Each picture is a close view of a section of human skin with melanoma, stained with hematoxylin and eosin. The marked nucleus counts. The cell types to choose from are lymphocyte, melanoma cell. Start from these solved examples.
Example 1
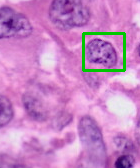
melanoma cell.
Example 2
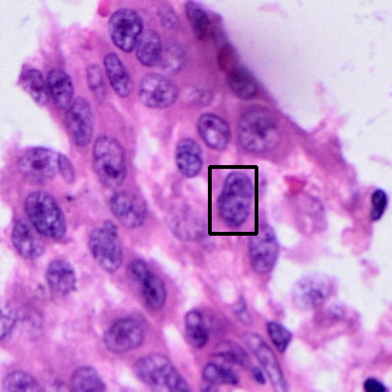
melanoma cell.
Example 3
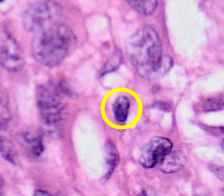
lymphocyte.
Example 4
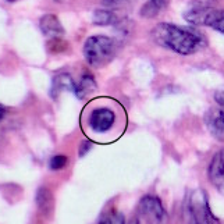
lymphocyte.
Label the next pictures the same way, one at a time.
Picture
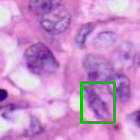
melanoma cell.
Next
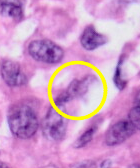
melanoma cell.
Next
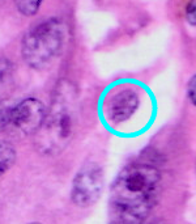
melanoma cell.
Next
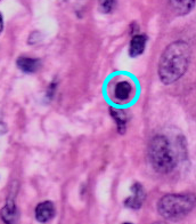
lymphocyte.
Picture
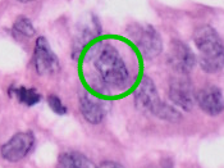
melanoma cell.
